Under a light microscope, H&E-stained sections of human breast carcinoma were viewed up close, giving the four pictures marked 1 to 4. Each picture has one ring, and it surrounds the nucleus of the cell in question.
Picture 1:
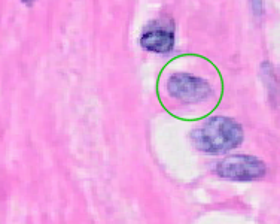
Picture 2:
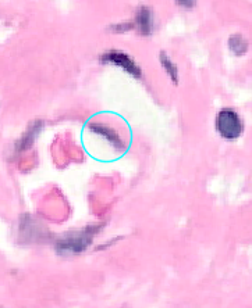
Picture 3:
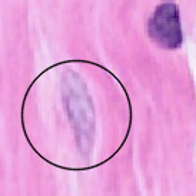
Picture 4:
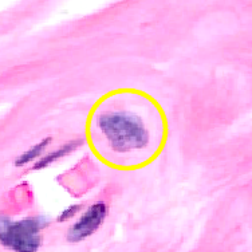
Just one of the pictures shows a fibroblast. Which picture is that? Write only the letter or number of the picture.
3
